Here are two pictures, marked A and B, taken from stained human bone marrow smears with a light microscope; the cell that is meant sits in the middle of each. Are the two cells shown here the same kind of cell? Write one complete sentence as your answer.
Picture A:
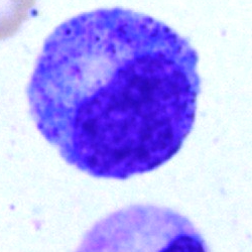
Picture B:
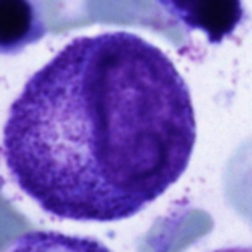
Yes; the cells in both pictures are myelocytes.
